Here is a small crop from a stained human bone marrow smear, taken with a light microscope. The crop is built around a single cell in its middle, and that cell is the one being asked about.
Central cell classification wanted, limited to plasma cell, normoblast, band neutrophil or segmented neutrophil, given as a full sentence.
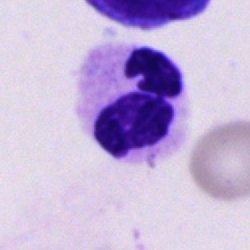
Of the cells in this crop, the central one is a segmented neutrophil.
